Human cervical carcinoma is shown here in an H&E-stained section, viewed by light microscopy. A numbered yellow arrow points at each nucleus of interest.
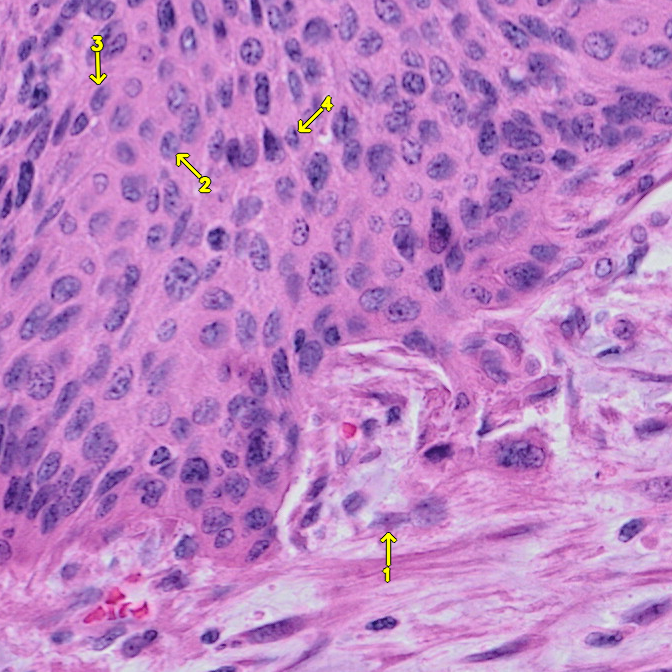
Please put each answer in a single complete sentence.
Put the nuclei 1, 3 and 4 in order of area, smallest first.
The order from the smallest nucleus to the largest is 4, 3, 1.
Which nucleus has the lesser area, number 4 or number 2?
Nucleus 4 covers less area, with nucleus 2 about 1.5 times as large.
